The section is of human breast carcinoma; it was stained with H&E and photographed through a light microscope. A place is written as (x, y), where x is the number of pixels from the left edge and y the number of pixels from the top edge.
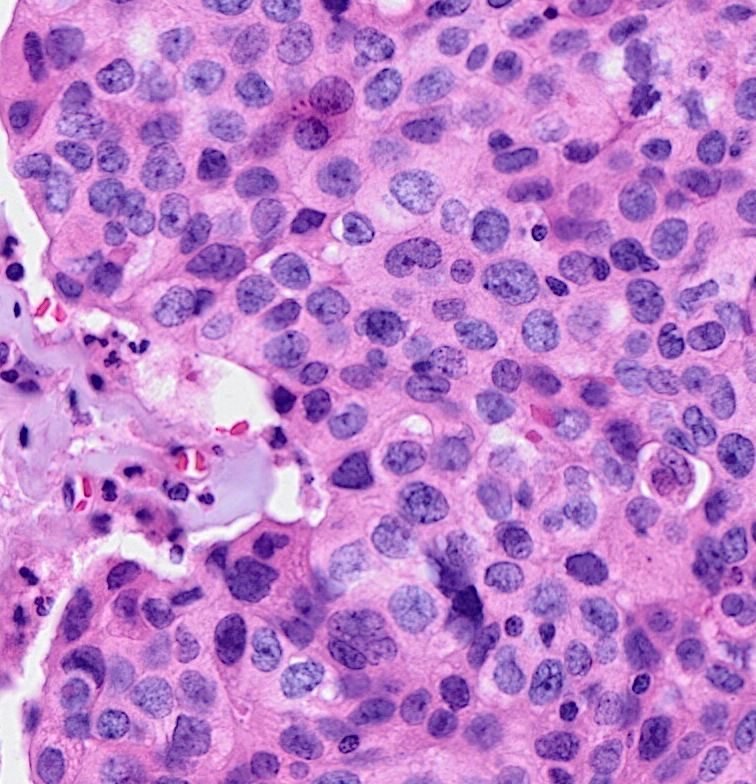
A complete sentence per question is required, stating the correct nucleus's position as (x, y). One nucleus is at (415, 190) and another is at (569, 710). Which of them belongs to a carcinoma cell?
As for which of the two, the nucleus at (415, 190) belongs to a carcinoma cell.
